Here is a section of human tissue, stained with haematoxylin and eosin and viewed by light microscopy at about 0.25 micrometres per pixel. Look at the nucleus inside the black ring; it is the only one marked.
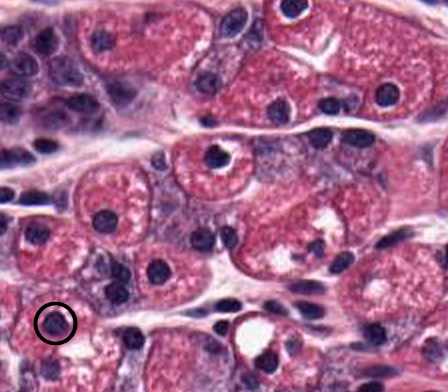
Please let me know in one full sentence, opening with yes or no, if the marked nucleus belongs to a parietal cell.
Yes, the marked nucleus belongs to a parietal cell.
